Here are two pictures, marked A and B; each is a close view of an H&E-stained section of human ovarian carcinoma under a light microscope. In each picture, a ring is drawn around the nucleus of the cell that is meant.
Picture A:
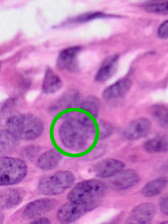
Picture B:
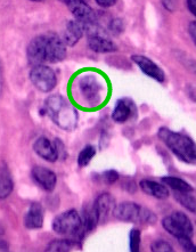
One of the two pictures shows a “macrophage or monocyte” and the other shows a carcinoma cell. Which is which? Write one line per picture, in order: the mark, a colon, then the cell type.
A: carcinoma cell
B: macrophage or monocyte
